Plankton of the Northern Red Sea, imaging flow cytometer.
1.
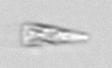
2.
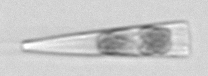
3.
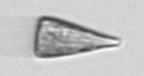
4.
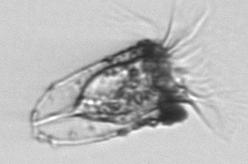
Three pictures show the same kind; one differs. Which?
Picture 4: a tintinnid, while the others are Licmophora.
